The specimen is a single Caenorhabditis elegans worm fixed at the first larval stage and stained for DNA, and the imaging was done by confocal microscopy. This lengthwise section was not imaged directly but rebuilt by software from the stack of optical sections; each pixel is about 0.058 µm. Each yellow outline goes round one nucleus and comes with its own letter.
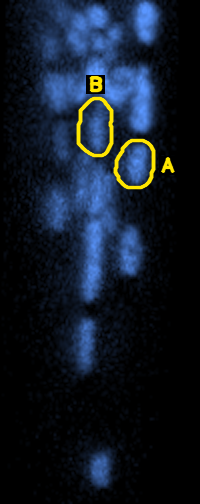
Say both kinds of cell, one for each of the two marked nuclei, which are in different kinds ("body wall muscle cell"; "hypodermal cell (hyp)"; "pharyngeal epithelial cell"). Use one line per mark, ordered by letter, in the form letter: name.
A: hypodermal cell (hyp)
B: pharyngeal epithelial cell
